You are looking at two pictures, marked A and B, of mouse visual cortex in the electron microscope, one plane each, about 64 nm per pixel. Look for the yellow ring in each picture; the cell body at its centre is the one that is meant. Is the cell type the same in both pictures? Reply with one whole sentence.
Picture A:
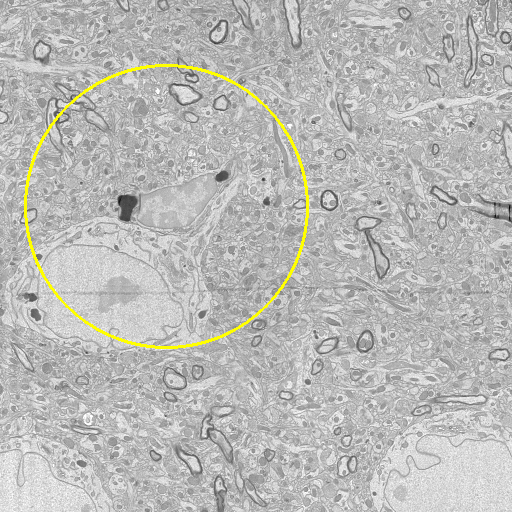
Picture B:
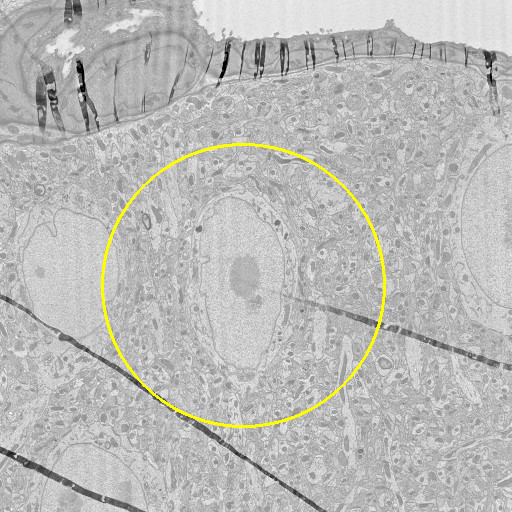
No, the types are not the same, since picture A shows a microglial cell and picture B an inhibitory neuron.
